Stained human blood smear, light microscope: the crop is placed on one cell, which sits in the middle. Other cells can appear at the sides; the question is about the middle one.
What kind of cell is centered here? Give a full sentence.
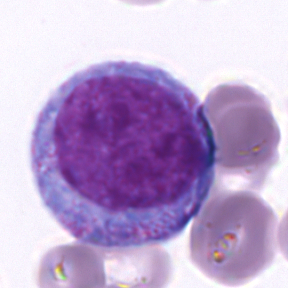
Looking at the middle of the crop, the cell there is a promyelocyte.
